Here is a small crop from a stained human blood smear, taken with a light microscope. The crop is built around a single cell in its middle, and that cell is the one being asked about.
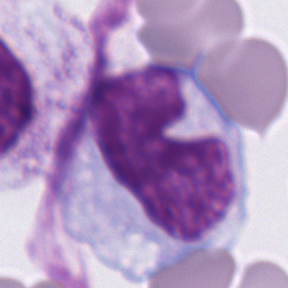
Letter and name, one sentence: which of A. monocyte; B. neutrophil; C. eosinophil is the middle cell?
The cell in the center of this crop is a monocyte, so option A is the one to pick.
